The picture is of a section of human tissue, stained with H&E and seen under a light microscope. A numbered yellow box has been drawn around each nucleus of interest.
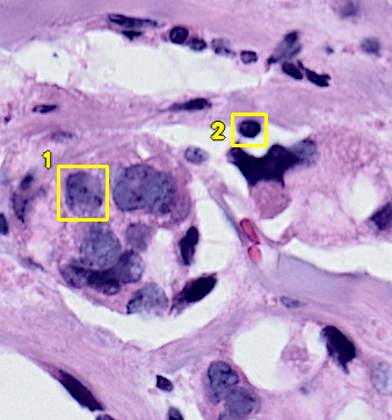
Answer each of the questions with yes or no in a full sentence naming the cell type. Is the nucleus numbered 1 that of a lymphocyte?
No, it is a carcinoma cell, not a lymphocyte, that number 1 marks.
